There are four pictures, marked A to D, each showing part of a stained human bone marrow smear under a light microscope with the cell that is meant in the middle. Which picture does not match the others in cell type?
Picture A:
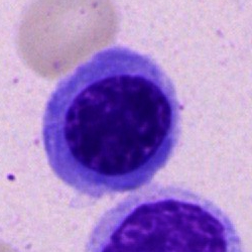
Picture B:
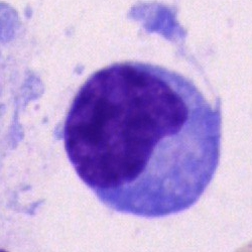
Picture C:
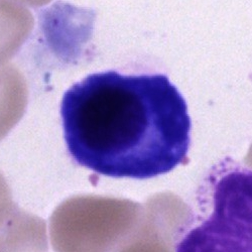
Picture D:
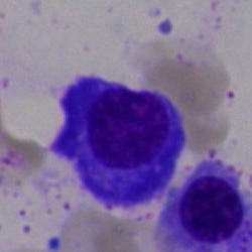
A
